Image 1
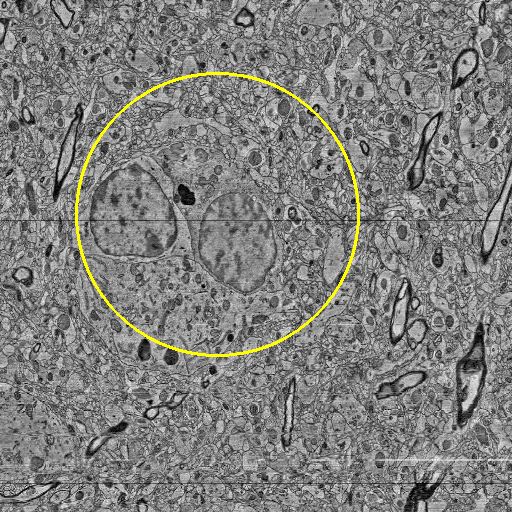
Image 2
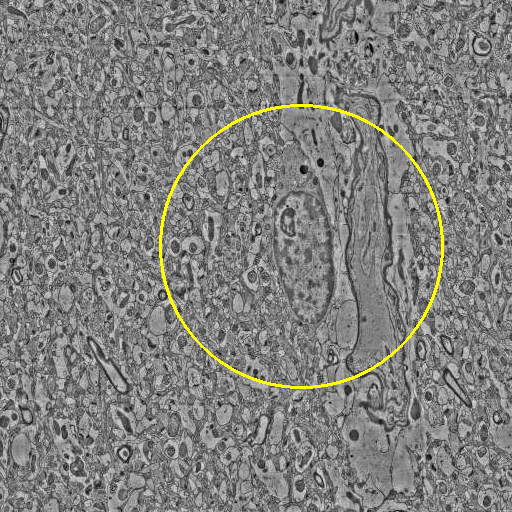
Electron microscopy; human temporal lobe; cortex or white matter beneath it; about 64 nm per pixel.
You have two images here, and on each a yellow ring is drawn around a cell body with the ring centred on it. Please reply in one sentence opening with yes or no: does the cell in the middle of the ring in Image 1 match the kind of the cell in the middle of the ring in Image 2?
Yes, the two images show cells of one kind at the centres of their rings.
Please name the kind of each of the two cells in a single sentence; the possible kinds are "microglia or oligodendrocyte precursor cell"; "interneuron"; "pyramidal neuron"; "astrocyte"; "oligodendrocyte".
Both pictures show an oligodendrocyte at the centre of the ring.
